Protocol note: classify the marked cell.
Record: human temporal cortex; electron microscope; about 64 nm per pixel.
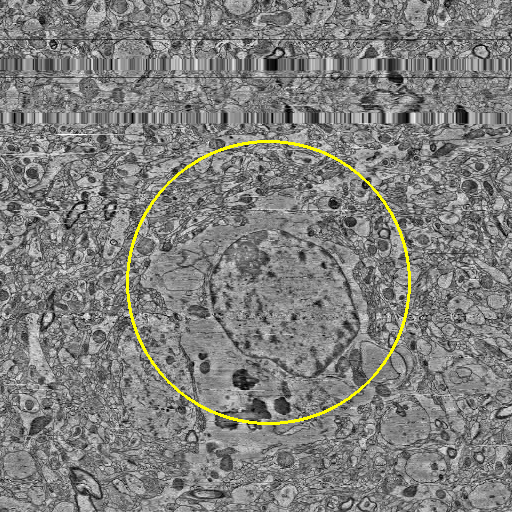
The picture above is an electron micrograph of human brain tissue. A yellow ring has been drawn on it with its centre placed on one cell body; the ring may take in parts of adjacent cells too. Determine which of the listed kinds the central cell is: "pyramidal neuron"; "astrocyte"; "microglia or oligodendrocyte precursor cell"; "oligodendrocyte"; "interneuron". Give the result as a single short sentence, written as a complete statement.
The central cell is an astrocyte.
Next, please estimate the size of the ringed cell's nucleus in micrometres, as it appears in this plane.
Roughly 10 by 8 micrometres in this plane, for the nucleus of the ringed cell.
